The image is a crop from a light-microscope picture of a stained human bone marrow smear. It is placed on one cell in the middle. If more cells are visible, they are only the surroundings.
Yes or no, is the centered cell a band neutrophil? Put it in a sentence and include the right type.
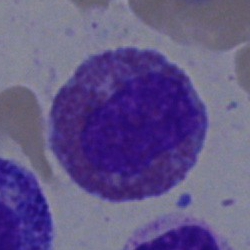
No, a band neutrophil is not what the central cell is; it is an eosinophil.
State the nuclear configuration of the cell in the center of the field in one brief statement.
What stands out is a nucleus forming one compact round, oval or kidney-shaped mass.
